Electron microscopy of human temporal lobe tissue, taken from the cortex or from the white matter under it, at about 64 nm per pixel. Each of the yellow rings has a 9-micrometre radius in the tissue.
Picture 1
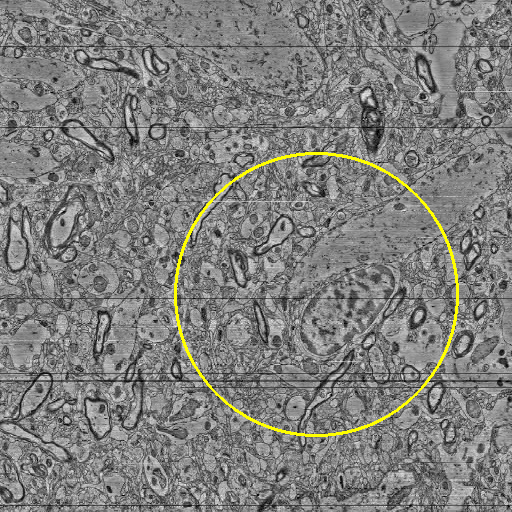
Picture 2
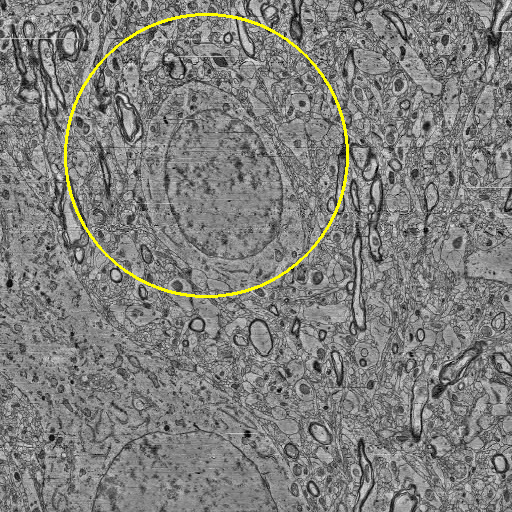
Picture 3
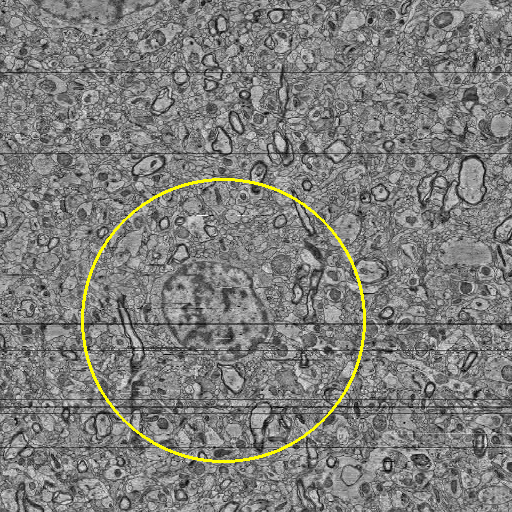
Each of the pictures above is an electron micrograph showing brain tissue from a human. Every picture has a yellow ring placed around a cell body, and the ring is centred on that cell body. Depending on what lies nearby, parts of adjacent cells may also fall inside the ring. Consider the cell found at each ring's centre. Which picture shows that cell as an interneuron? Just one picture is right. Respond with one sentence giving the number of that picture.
The picture showing the wanted cell at the ring's centre is number 2.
